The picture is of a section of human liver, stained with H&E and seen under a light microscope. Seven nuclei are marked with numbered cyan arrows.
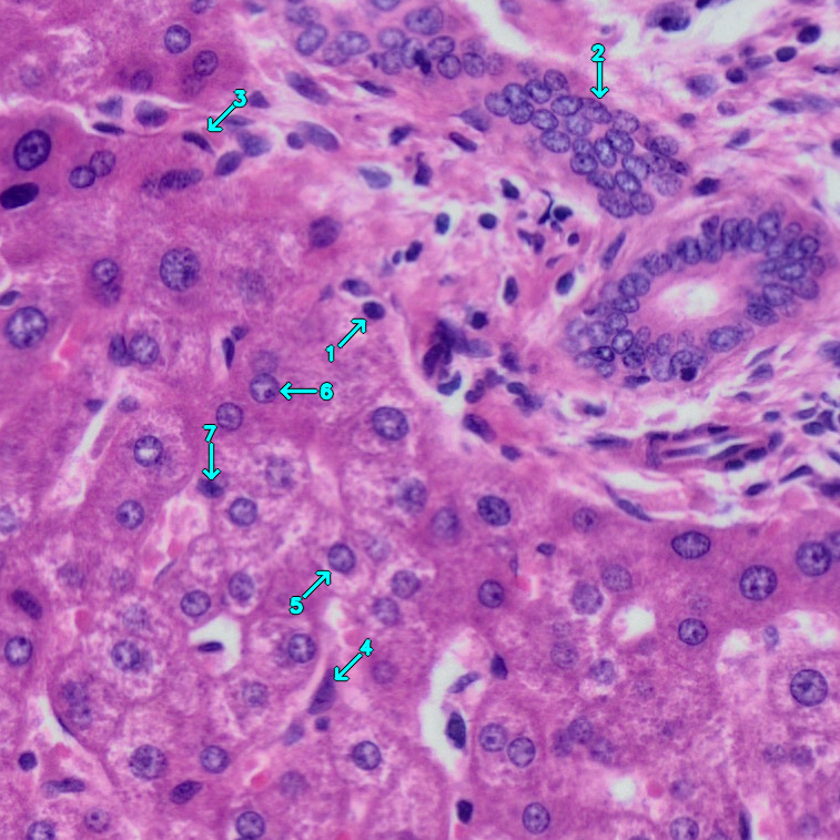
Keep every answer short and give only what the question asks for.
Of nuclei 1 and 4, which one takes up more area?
4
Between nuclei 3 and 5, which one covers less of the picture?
3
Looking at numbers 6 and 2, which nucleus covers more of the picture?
6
